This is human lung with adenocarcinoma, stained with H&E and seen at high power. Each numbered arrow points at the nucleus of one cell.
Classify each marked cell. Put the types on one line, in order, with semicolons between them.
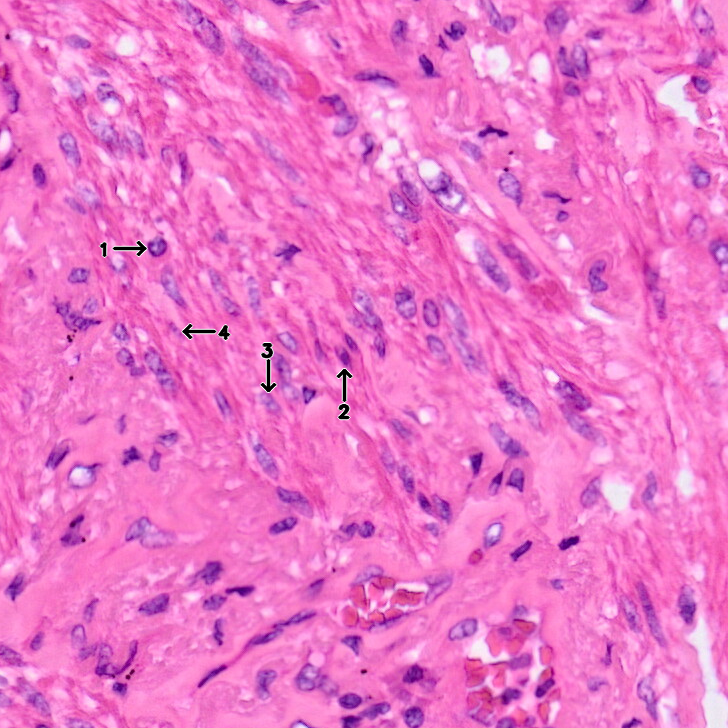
mast cell; smooth muscle cell or pericyte; smooth muscle cell or pericyte; smooth muscle cell or pericyte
